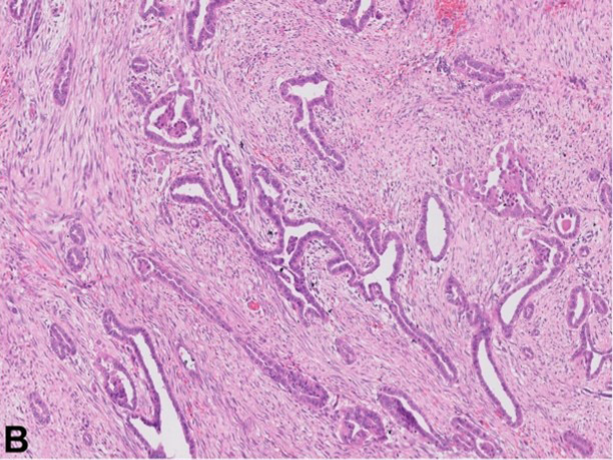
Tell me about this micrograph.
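This field shows the epithelial component of the tumor, as purple glands lying in a cellular pale pink stroma. The glands are elongated, branching and irregular, with tubular and papillary outlines, some taking angular, leaf-like shapes. The stroma between them is made of elongated cells running in streams alongside the glands.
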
